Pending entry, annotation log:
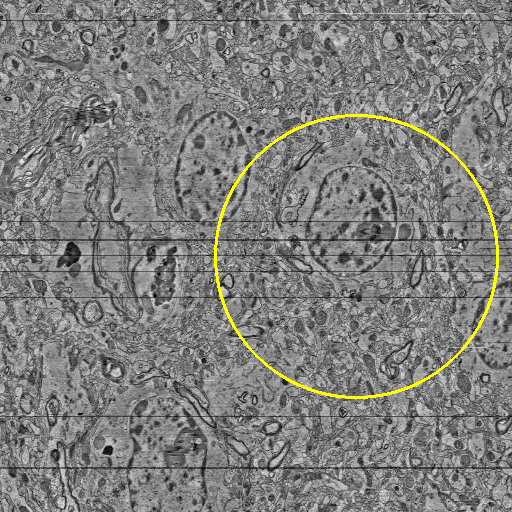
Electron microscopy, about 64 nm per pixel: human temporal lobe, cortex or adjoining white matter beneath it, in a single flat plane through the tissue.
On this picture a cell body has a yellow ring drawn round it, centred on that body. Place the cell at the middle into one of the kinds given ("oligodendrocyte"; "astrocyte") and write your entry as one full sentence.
The cell body at the middle of the yellow ring belongs to an astrocyte.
